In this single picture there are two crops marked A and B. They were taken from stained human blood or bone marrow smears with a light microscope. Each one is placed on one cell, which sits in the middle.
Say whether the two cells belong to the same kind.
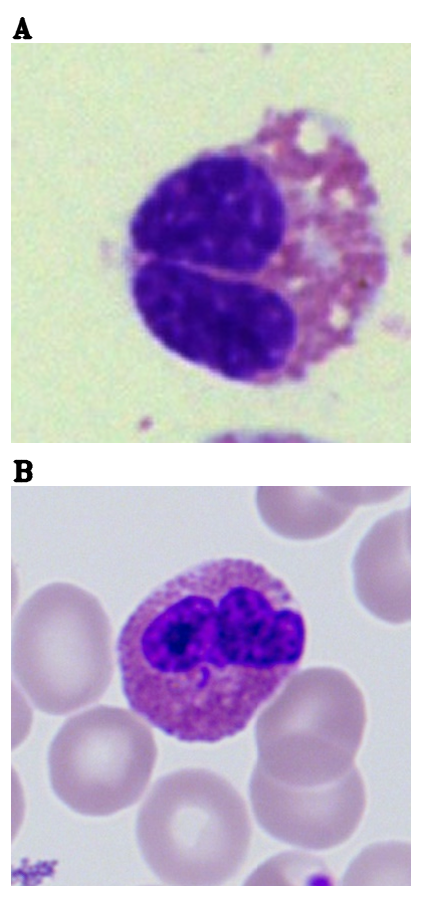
no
